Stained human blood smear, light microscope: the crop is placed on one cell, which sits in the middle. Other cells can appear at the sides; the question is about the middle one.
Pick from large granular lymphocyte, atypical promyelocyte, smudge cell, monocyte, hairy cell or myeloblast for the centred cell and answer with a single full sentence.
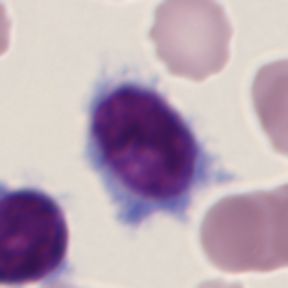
The cell at the centre of the field is a hairy cell.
